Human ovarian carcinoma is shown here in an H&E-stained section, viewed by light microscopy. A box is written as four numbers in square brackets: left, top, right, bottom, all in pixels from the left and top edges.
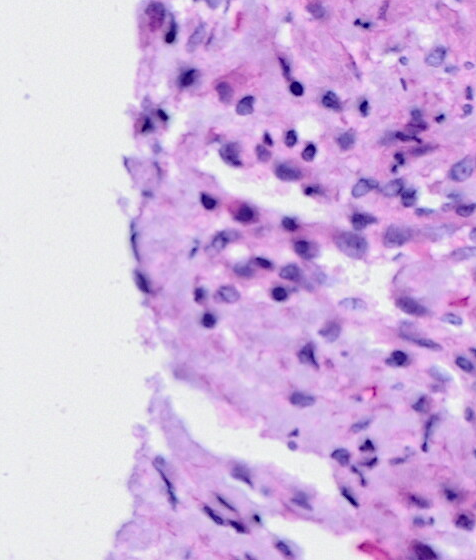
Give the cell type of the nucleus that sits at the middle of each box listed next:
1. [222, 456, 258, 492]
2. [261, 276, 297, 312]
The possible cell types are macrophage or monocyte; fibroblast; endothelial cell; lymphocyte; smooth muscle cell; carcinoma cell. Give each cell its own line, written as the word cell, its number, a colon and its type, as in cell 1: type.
cell 1: fibroblast
cell 2: lymphocyte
